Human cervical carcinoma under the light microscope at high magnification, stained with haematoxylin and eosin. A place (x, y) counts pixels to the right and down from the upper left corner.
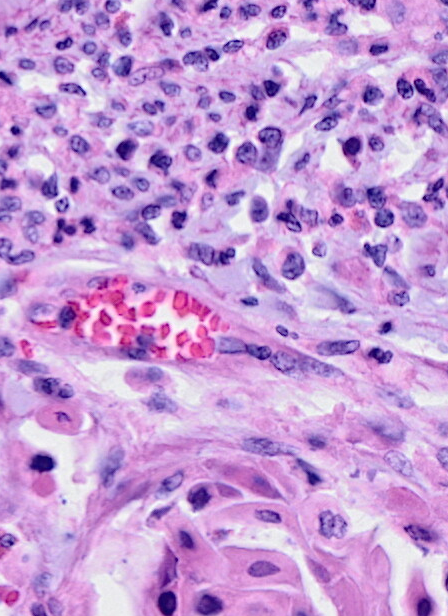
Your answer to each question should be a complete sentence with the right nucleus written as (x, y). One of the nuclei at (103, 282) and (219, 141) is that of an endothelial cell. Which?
The nucleus that belongs to an endothelial cell is located at (103, 282).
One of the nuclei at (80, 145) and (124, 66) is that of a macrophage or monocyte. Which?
The nucleus that belongs to a macrophage or monocyte sits at (80, 145).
